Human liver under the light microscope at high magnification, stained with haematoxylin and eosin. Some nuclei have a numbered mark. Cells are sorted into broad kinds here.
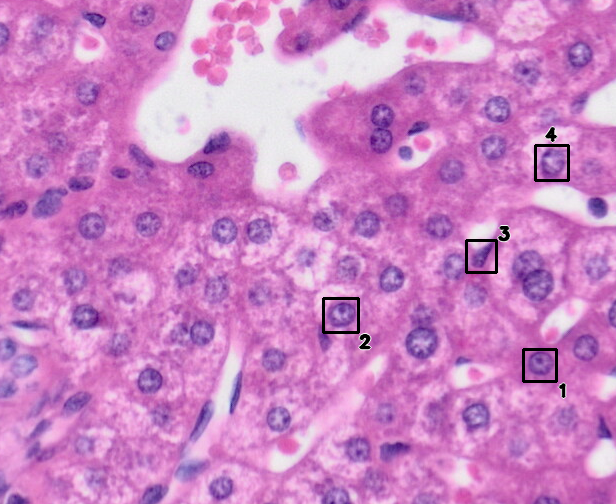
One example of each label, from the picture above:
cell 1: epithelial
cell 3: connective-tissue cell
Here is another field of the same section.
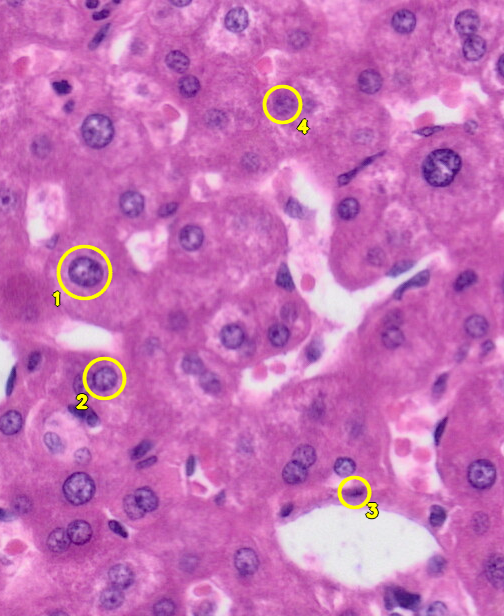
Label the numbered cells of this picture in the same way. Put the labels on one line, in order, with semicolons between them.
epithelial; epithelial; connective-tissue cell; epithelial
